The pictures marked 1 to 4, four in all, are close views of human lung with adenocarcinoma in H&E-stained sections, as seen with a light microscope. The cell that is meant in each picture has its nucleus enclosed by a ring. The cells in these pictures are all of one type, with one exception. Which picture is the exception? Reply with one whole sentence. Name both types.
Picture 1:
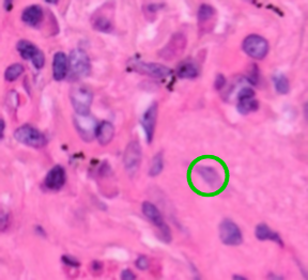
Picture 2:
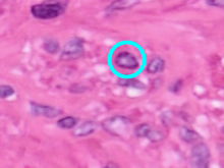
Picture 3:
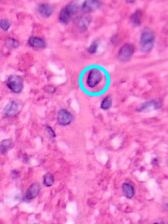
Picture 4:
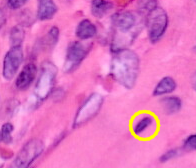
Unlike the rest, which show mast cells, picture 1 shows a fibroblast.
